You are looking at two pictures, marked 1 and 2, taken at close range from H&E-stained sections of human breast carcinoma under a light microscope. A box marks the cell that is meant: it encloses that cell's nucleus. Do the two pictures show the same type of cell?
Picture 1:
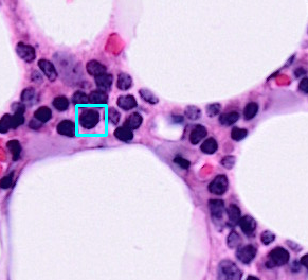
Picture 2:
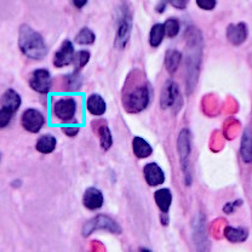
yes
